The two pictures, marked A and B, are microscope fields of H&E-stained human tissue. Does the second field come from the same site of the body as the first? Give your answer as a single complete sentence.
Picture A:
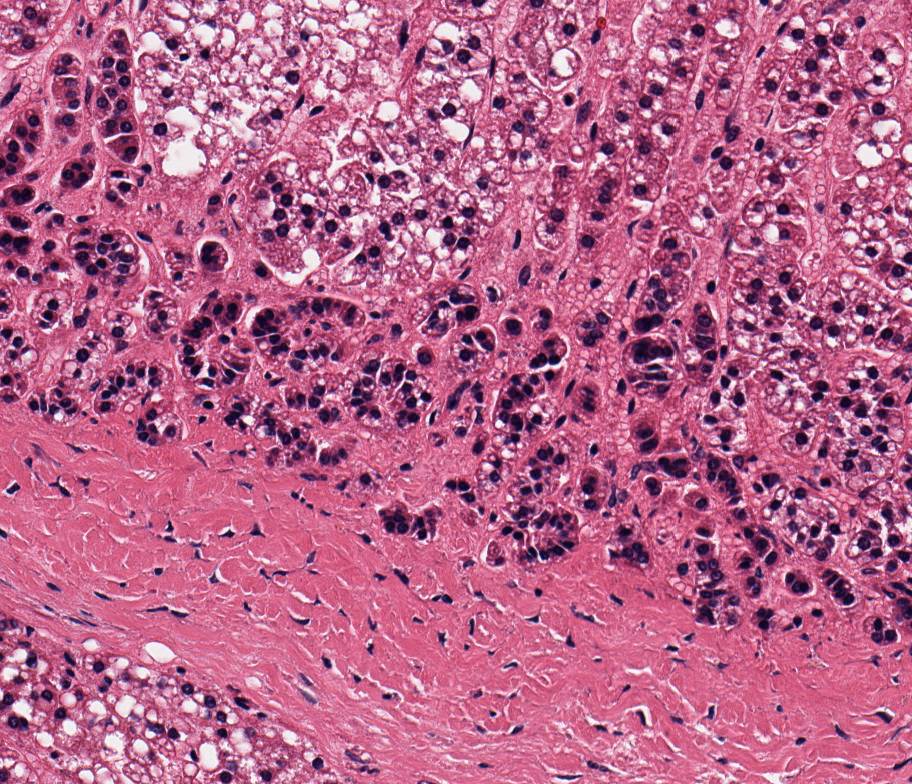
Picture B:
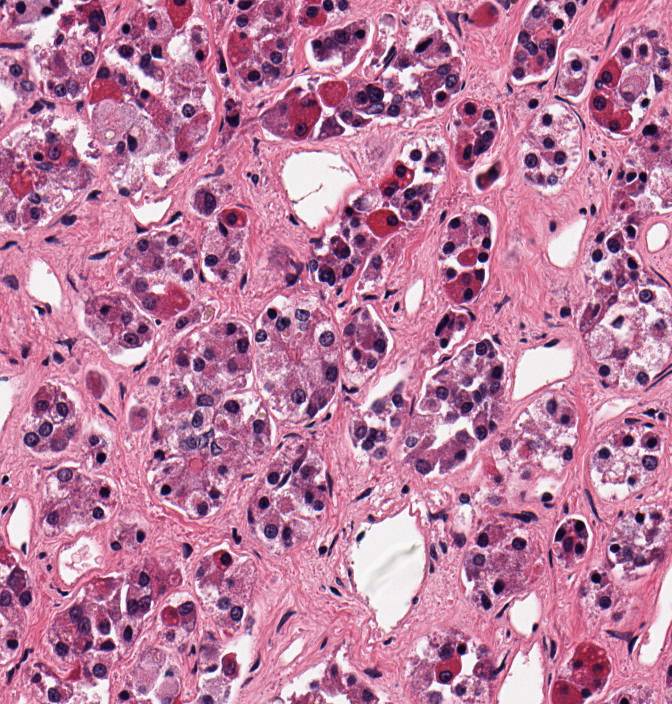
No, they differ: picture A comes from the adrenal gland, and picture B comes from the pituitary.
